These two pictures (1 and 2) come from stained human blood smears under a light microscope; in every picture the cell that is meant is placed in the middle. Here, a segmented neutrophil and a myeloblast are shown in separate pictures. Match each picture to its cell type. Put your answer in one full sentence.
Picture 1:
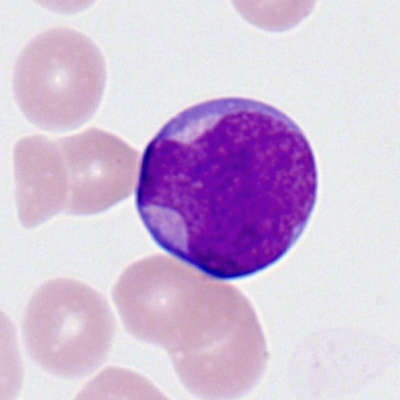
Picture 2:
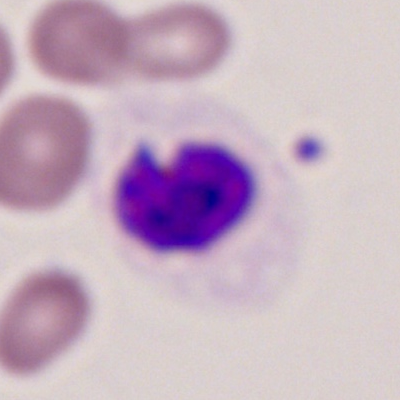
The cell in picture 1 is a myeloblast, and the one in picture 2 is a segmented neutrophil.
